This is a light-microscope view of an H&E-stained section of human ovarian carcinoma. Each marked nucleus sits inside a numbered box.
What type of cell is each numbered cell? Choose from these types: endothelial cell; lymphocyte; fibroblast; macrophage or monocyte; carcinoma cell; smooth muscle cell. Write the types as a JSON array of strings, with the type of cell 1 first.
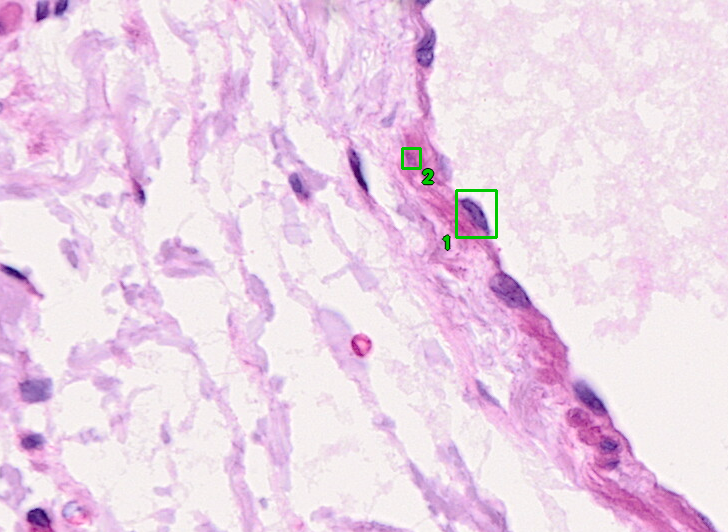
["endothelial cell", "smooth muscle cell"]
